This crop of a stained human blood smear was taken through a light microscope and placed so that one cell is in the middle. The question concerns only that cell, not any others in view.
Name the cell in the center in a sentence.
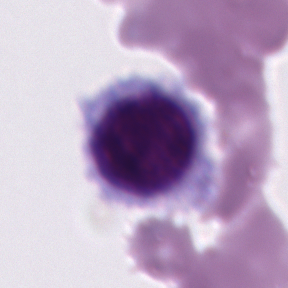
The cell featured at the centre of this crop is a hairy cell.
